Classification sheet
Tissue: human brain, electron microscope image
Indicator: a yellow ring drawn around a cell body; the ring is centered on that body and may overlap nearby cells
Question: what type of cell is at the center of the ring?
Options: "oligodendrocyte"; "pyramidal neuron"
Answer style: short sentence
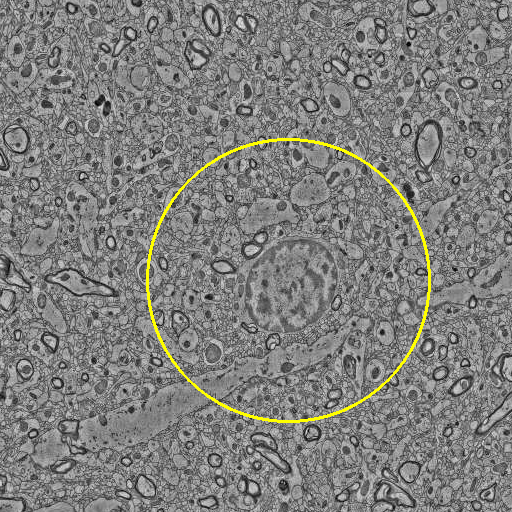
At the ring's center is an oligodendrocyte.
